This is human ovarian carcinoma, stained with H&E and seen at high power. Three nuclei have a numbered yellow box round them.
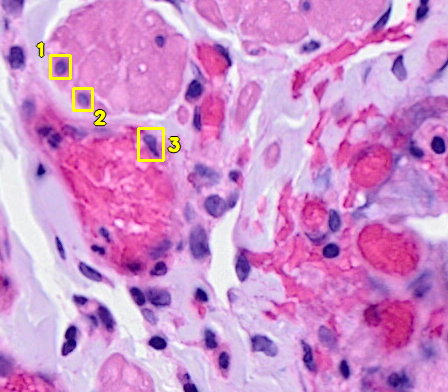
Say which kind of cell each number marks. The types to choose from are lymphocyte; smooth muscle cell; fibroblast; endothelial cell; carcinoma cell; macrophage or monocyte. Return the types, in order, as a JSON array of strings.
["smooth muscle cell", "smooth muscle cell", "endothelial cell"]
